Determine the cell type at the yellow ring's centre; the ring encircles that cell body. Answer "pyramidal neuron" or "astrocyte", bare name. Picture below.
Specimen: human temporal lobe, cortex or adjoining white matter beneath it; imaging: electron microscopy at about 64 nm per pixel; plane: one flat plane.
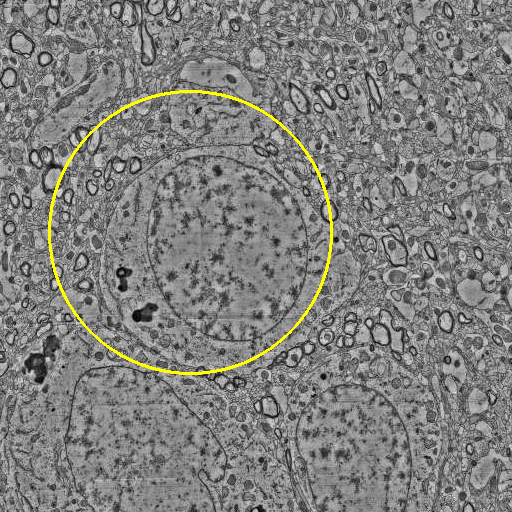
pyramidal neuron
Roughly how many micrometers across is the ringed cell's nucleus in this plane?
In this plane the nucleus measures roughly 12 by 10 micrometers.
